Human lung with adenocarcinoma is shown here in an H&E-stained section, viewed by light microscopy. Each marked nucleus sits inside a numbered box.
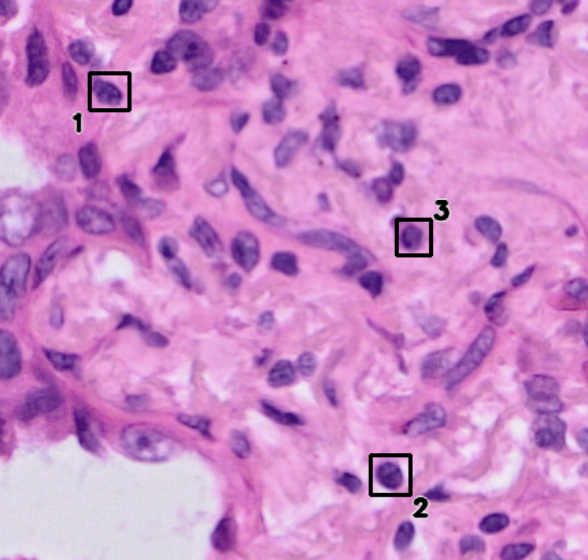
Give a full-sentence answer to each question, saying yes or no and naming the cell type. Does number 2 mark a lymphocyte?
Yes, kindly take note: the cell numbered 2 is a lymphocyte.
